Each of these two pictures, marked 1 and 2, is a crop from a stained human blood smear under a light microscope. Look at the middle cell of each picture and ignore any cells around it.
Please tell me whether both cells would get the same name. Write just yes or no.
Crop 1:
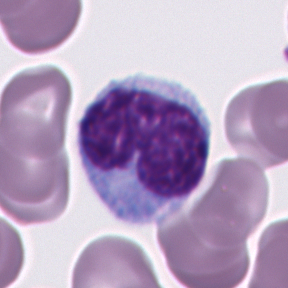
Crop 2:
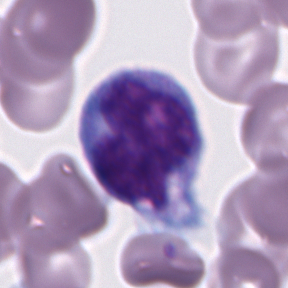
yes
